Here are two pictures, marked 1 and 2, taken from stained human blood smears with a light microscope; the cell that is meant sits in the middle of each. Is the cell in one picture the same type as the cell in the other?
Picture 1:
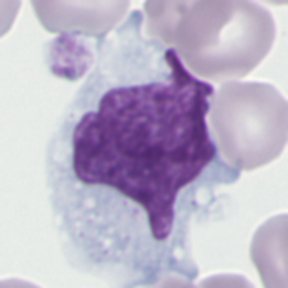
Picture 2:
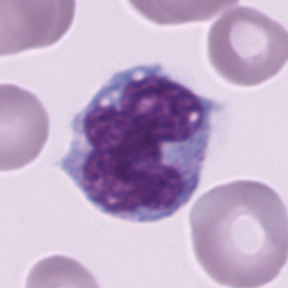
yes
